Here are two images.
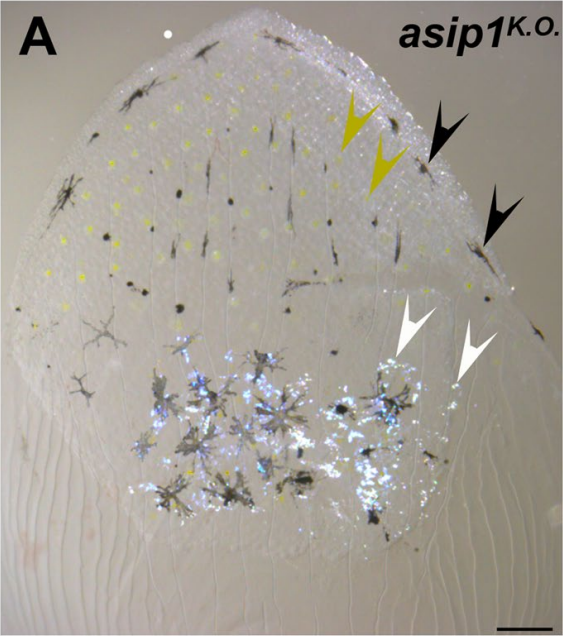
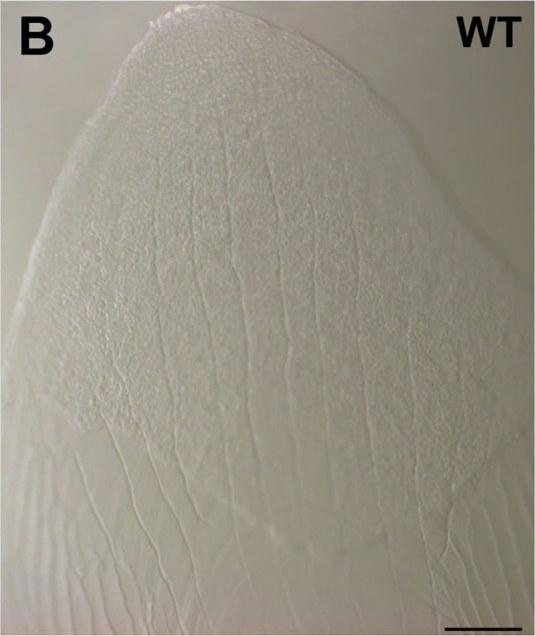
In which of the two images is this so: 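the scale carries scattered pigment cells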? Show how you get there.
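First image: black branched cells, yellow dots and shiny silvery cells are spread over the scale. Second image: the scale is clear with only its ridges and grooves, no pigment cells. On this evidence: the first image.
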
